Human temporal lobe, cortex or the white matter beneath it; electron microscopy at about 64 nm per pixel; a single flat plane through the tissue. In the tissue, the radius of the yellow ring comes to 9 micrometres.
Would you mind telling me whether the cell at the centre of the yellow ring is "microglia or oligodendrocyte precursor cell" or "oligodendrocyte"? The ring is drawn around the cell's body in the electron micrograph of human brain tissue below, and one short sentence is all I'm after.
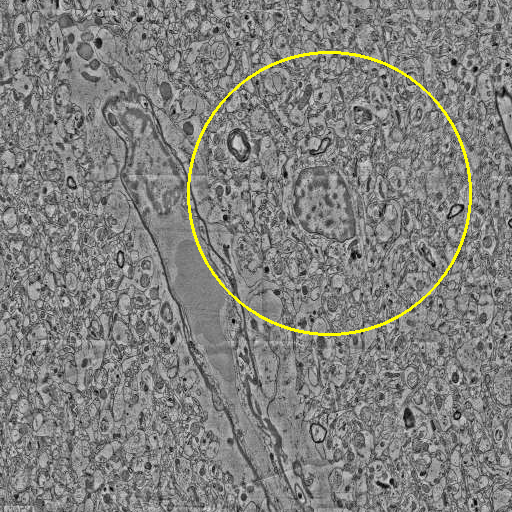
In the centre of the ring lies a microglial cell or oligodendrocyte precursor cell.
